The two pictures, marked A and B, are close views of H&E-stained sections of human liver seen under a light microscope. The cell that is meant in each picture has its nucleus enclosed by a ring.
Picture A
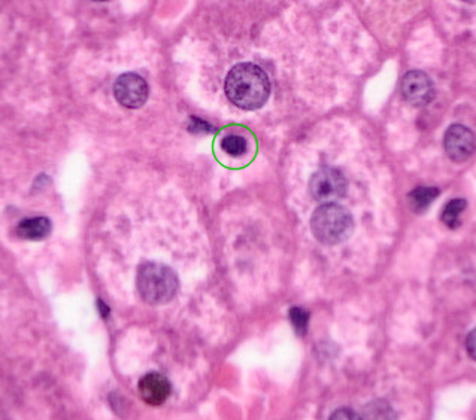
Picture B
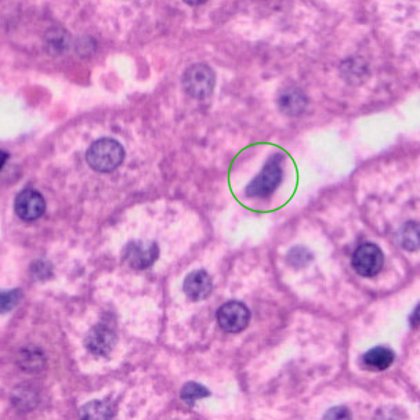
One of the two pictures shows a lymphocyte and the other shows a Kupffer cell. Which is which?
A: lymphocyte
B: Kupffer cell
